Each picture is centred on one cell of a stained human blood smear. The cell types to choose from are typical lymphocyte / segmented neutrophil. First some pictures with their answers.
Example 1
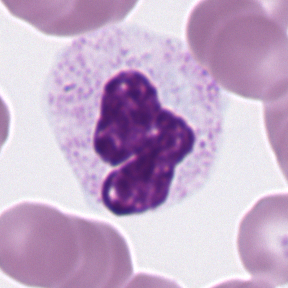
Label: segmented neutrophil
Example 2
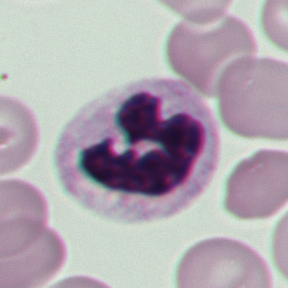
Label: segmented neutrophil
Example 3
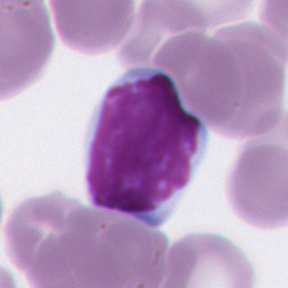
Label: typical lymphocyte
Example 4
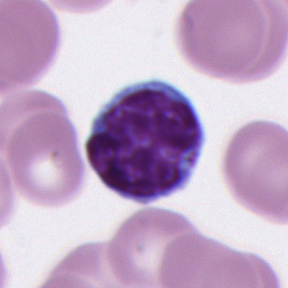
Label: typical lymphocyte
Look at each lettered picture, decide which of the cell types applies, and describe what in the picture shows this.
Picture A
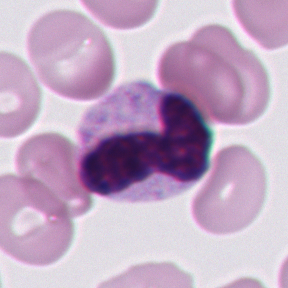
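segmented neutrophil: The nucleus is a single curved band, not split into separate lobes.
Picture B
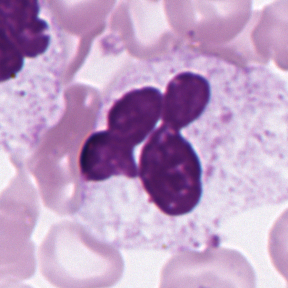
segmented neutrophil: The cytoplasm is plentiful and pale pinkish-lilac.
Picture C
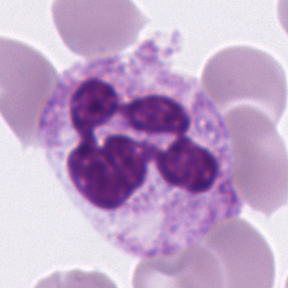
segmented neutrophil: A wide rim of pale pinkish-lilac cytoplasm surrounds the nucleus.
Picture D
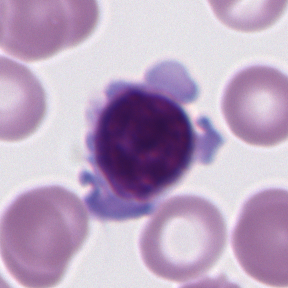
typical lymphocyte: The cytoplasm is scant and pale blue.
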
